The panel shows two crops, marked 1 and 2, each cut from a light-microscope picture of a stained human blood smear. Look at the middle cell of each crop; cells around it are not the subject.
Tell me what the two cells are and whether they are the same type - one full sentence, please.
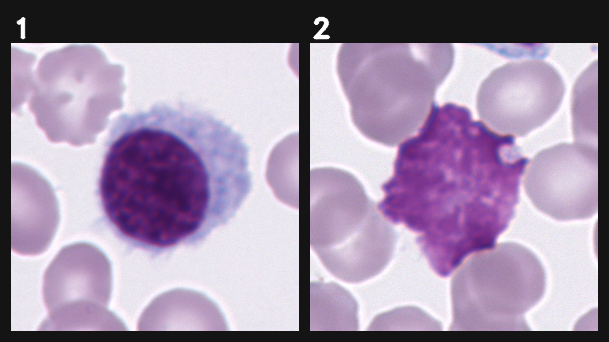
No, look again: crop 1 shows a hairy cell, and crop 2 shows a smudge cell.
